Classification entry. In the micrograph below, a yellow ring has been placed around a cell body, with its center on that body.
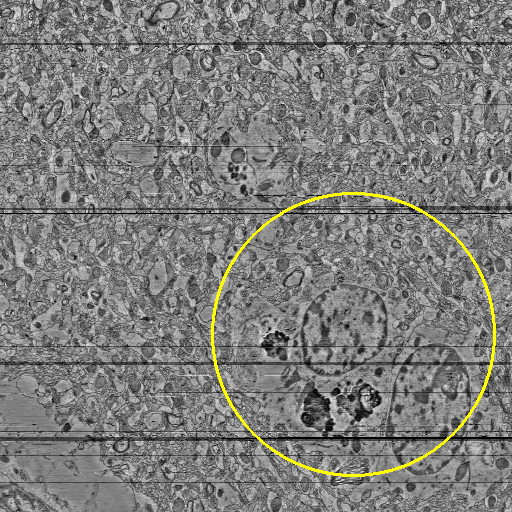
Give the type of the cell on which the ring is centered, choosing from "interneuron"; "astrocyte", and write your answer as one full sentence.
The cell body at the center of the yellow ring belongs to an astrocyte.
